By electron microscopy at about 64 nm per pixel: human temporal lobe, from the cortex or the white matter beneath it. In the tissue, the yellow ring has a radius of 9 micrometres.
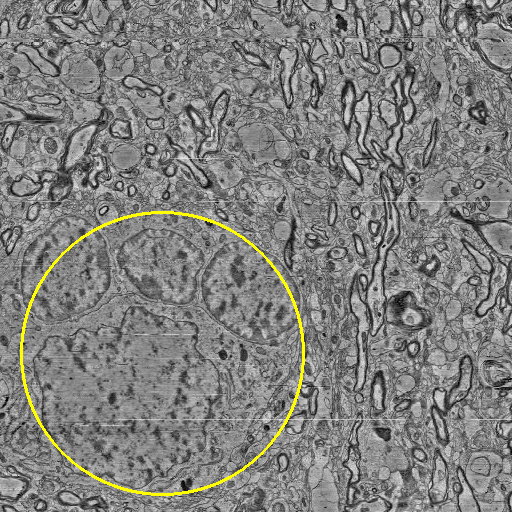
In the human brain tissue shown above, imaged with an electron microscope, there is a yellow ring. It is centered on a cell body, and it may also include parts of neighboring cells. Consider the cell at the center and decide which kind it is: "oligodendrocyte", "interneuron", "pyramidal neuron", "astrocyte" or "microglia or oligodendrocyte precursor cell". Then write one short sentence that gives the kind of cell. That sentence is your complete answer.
This centered cell body is that of an interneuron.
